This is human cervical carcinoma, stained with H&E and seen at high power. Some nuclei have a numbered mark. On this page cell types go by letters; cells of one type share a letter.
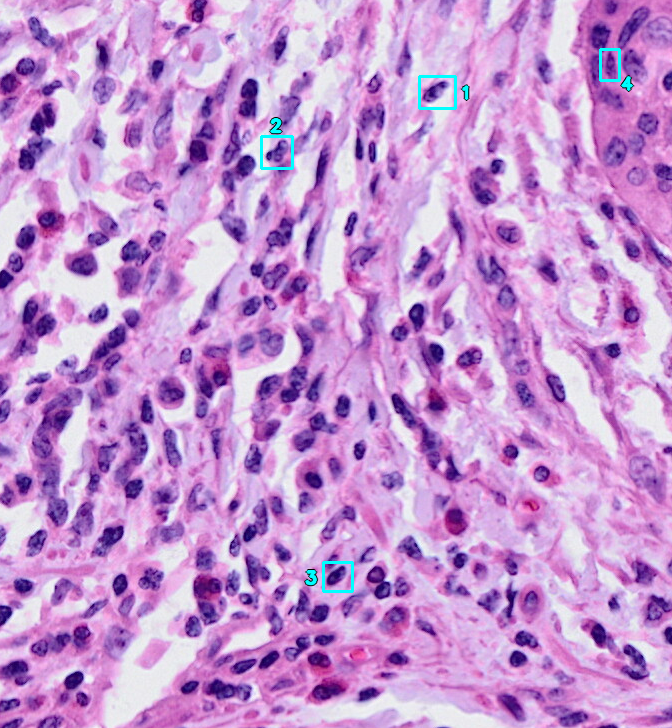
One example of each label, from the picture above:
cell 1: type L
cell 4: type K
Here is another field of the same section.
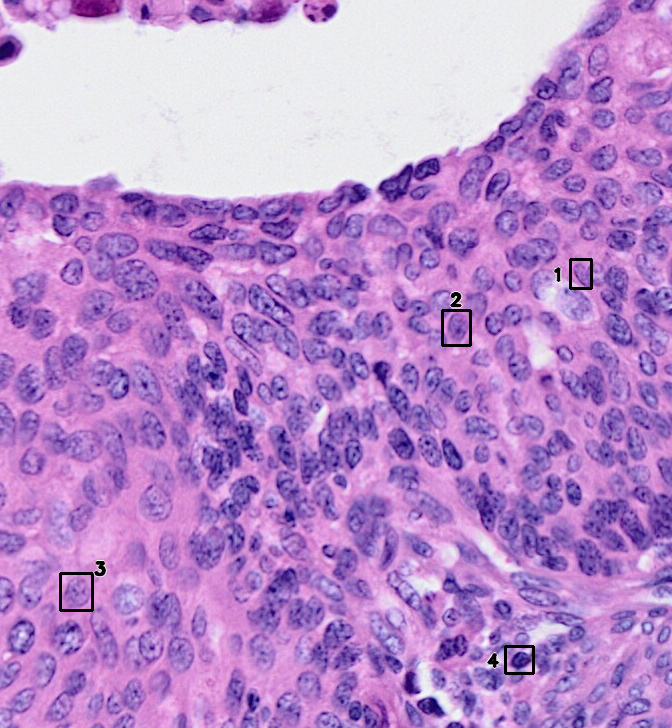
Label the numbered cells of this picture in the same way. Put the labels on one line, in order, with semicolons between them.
type K; type K; type K; type L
